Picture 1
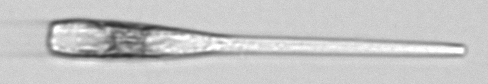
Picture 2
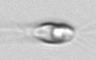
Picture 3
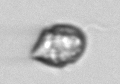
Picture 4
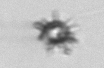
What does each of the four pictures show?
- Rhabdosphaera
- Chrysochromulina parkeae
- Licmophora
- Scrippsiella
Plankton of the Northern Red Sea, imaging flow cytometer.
1: Licmophora
2: Chrysochromulina parkeae
3: Scrippsiella
4: Rhabdosphaera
